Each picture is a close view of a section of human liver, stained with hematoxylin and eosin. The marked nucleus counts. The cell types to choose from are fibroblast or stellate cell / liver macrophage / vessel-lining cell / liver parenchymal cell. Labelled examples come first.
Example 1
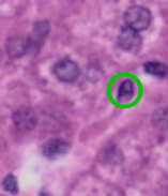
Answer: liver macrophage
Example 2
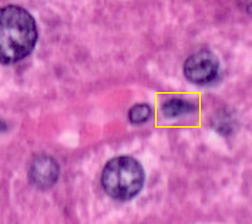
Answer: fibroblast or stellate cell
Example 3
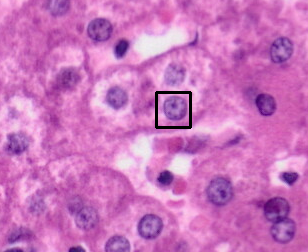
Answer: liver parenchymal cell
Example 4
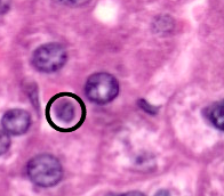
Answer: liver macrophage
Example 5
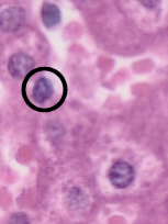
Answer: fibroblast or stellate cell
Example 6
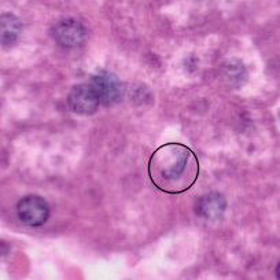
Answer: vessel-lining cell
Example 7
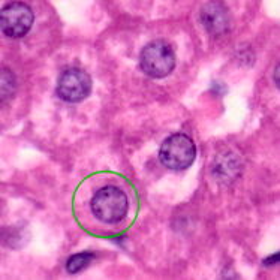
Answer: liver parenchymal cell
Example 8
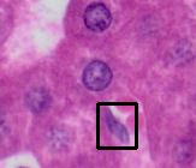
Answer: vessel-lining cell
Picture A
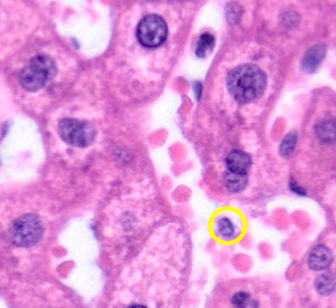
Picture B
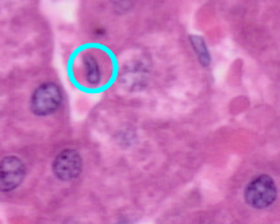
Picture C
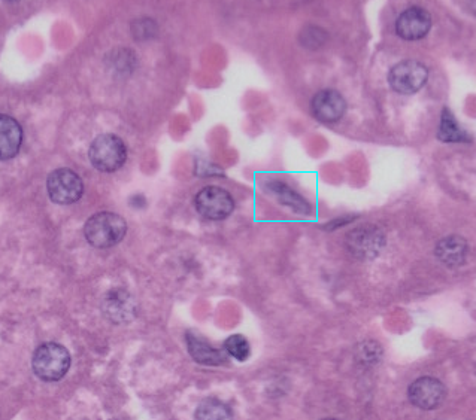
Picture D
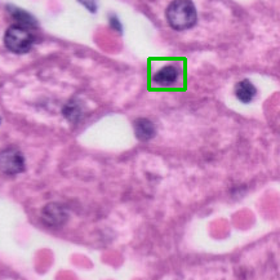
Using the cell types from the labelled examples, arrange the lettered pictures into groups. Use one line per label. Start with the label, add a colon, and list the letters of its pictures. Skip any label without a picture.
fibroblast or stellate cell: D
liver macrophage: A, B, C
